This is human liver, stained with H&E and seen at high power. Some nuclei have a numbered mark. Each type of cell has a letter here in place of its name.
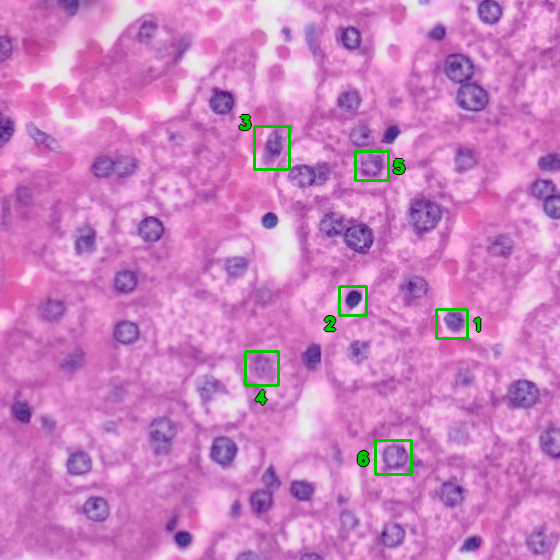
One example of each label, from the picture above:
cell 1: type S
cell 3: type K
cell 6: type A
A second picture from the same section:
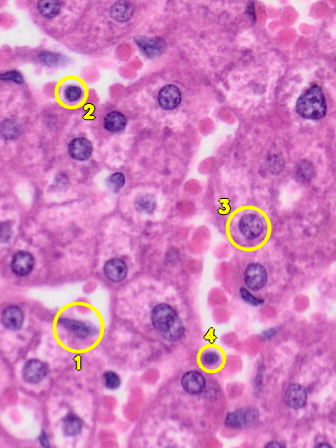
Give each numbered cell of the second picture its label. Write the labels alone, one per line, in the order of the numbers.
type K
type S
type A
type S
